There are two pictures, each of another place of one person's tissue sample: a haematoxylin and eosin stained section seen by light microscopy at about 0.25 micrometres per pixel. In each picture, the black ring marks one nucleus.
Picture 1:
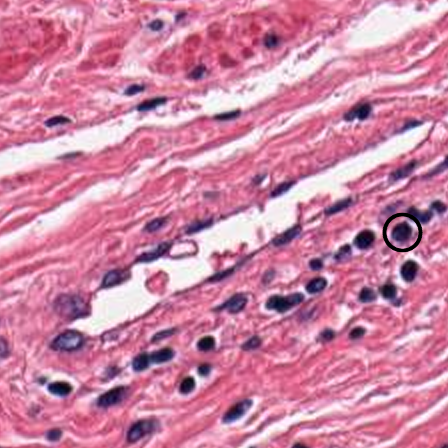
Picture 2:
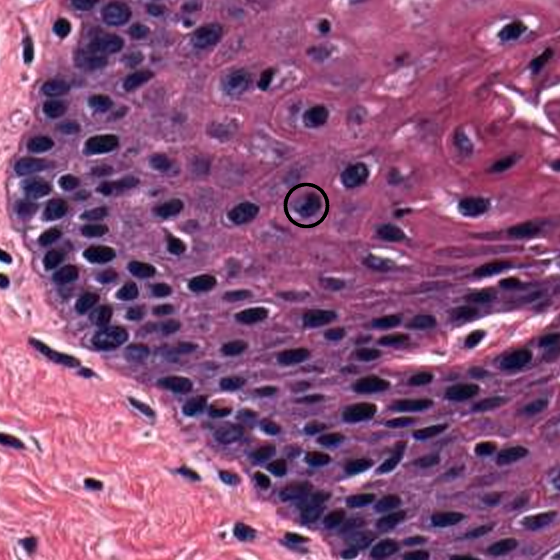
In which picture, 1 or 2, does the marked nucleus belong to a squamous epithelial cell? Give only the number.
2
